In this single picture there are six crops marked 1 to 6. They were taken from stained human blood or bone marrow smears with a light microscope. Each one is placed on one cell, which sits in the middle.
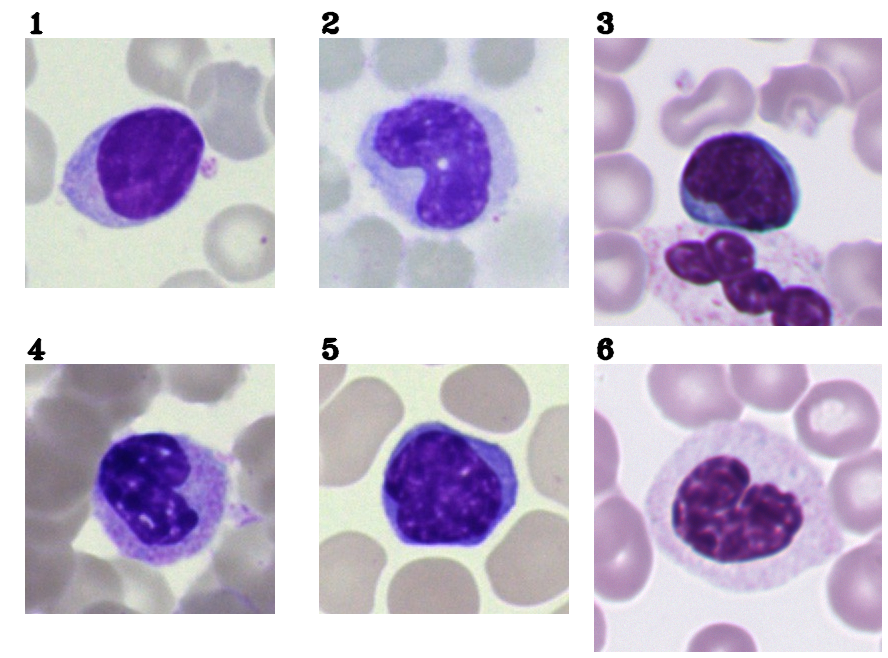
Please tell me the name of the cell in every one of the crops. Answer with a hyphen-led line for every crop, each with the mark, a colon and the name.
- 1: lymphocyte
- 2: band neutrophil
- 3: lymphocyte
- 4: band neutrophil
- 5: lymphocyte
- 6: band neutrophil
